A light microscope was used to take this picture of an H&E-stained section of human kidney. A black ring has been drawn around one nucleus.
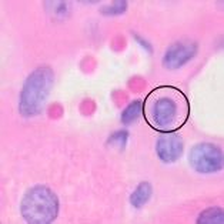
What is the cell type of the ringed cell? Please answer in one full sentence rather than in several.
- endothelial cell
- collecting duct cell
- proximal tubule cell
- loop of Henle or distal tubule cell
In cellular terms, the ringed cell is a collecting duct cell.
